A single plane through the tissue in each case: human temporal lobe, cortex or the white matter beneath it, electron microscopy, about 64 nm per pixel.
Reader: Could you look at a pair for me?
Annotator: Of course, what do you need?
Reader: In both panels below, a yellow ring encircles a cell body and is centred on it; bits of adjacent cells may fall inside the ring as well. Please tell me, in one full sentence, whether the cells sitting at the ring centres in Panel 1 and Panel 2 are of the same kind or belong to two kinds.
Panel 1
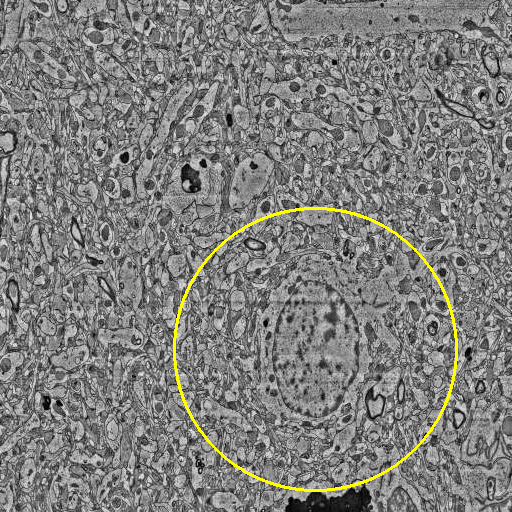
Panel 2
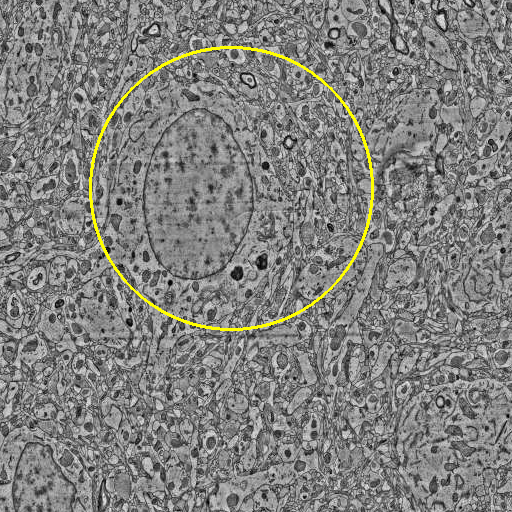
The cell at the ring's centre in Panel 1 and the one in Panel 2 belong to two kinds.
